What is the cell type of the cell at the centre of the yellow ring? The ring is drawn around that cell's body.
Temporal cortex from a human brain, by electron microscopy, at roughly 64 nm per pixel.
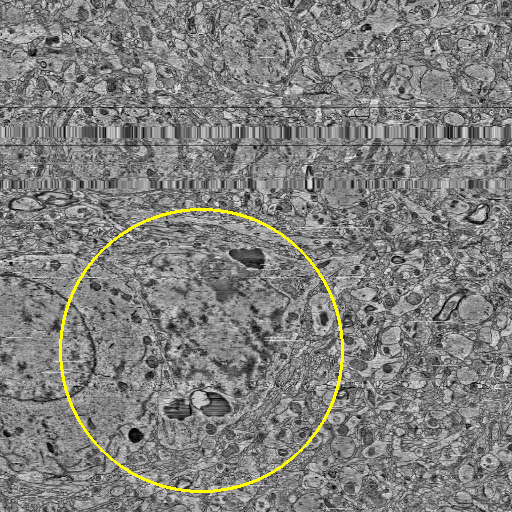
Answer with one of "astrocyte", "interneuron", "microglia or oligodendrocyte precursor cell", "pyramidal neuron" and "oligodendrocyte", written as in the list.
interneuron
